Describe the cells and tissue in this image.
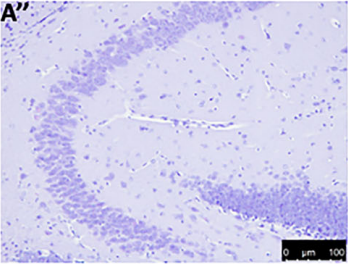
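Hippocampal pyramidal neurons form a broad curved band crossing the field. The band is continuous without obvious gaps. At the lower right a separate band of smaller, more tightly packed cells begins. The surrounding neuropil is pale and even, with scattered small nuclei and a few thin vessels.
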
